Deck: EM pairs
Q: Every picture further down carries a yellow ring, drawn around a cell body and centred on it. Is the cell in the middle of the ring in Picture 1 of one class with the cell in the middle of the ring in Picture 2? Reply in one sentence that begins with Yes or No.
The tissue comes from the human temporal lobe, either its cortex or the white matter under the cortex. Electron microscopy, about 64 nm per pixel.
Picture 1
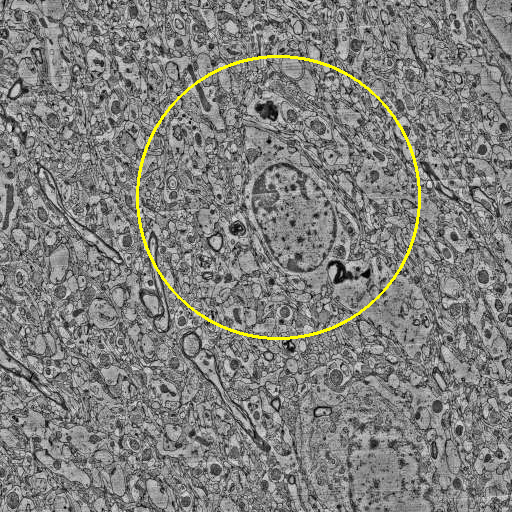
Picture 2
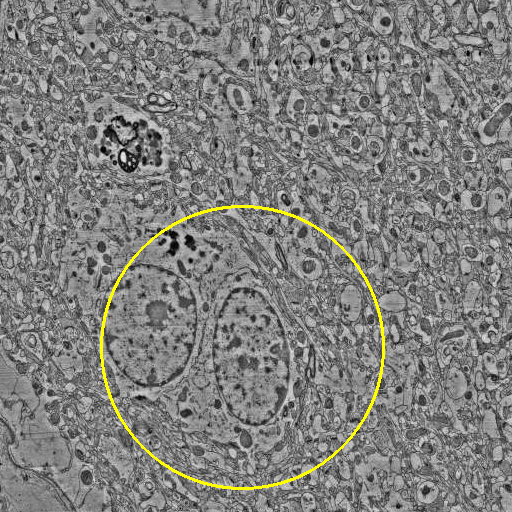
Yes, the cell centred in the ring of Picture 1 and the one in Picture 2 belong to one class.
